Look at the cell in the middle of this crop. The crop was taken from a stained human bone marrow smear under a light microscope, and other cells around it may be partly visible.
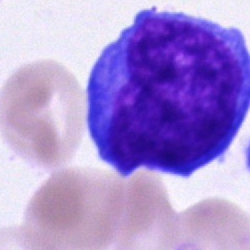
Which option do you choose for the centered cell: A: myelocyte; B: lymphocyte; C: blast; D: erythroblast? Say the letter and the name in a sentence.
The middle of the crop holds a blast, which points to option C.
